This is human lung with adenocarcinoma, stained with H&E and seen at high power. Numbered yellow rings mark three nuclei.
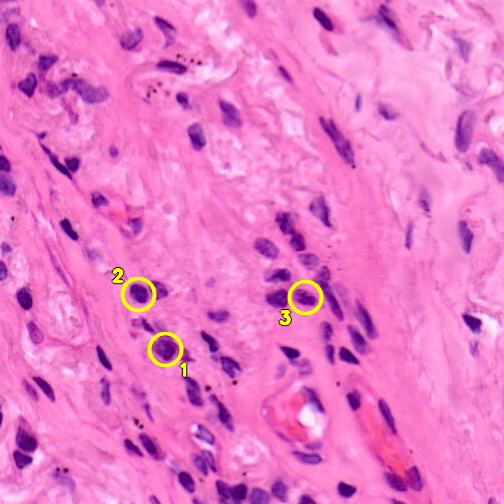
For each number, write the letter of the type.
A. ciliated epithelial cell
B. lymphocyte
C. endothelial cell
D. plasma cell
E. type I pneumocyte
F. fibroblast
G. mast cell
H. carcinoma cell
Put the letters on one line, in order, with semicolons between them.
D; B; D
